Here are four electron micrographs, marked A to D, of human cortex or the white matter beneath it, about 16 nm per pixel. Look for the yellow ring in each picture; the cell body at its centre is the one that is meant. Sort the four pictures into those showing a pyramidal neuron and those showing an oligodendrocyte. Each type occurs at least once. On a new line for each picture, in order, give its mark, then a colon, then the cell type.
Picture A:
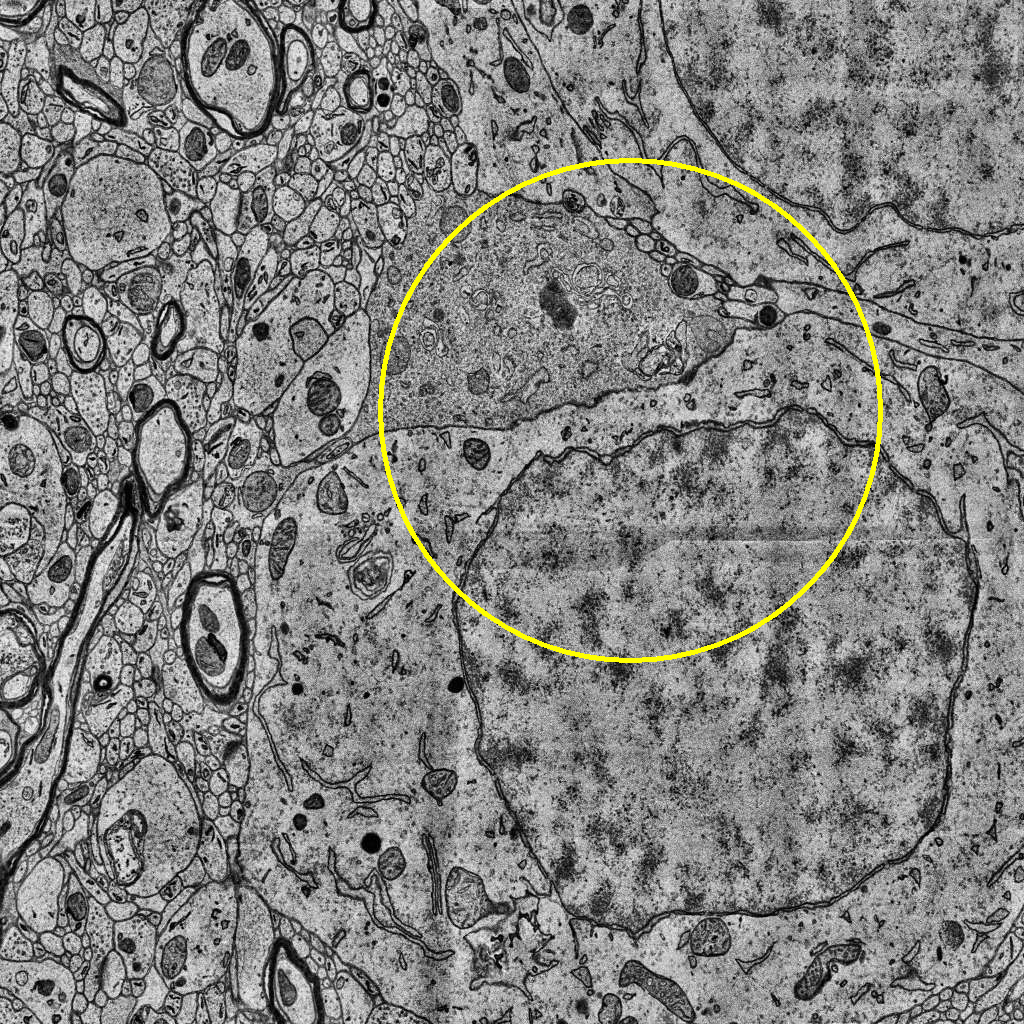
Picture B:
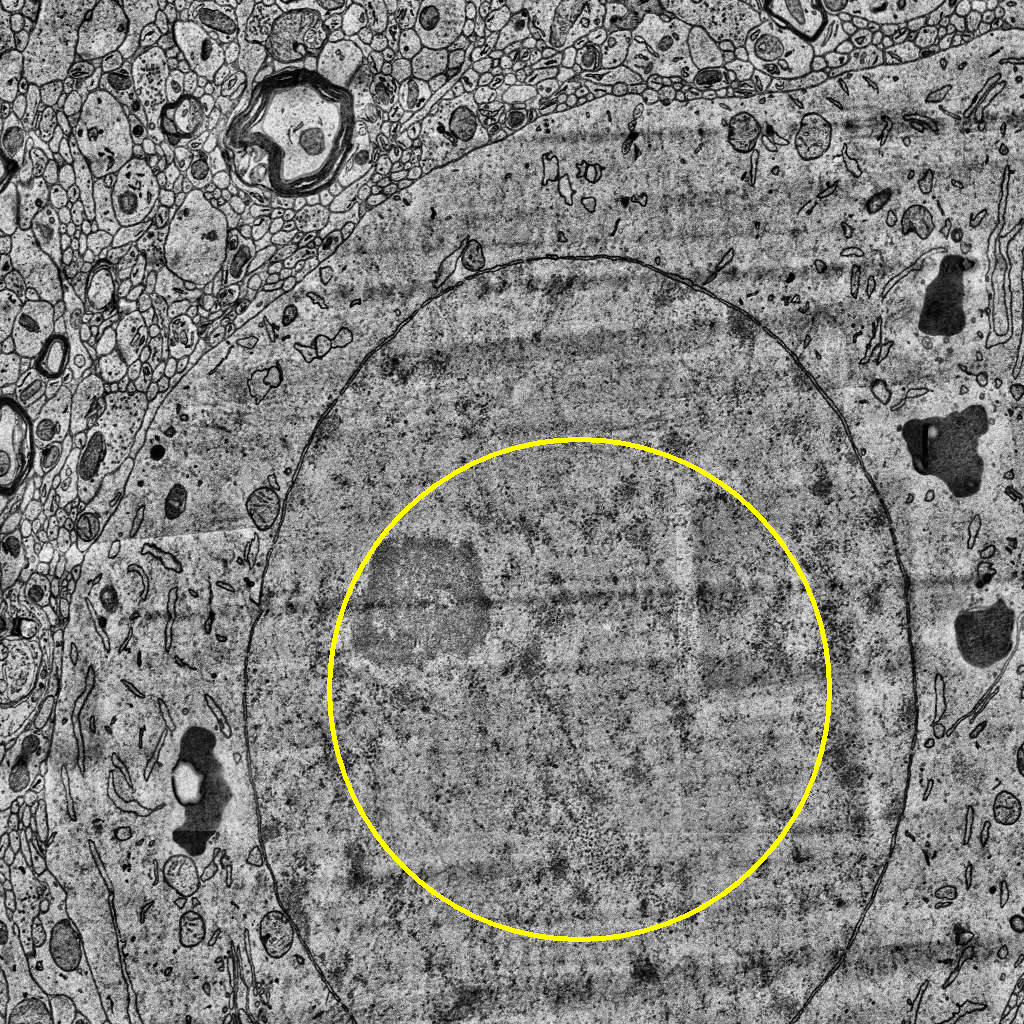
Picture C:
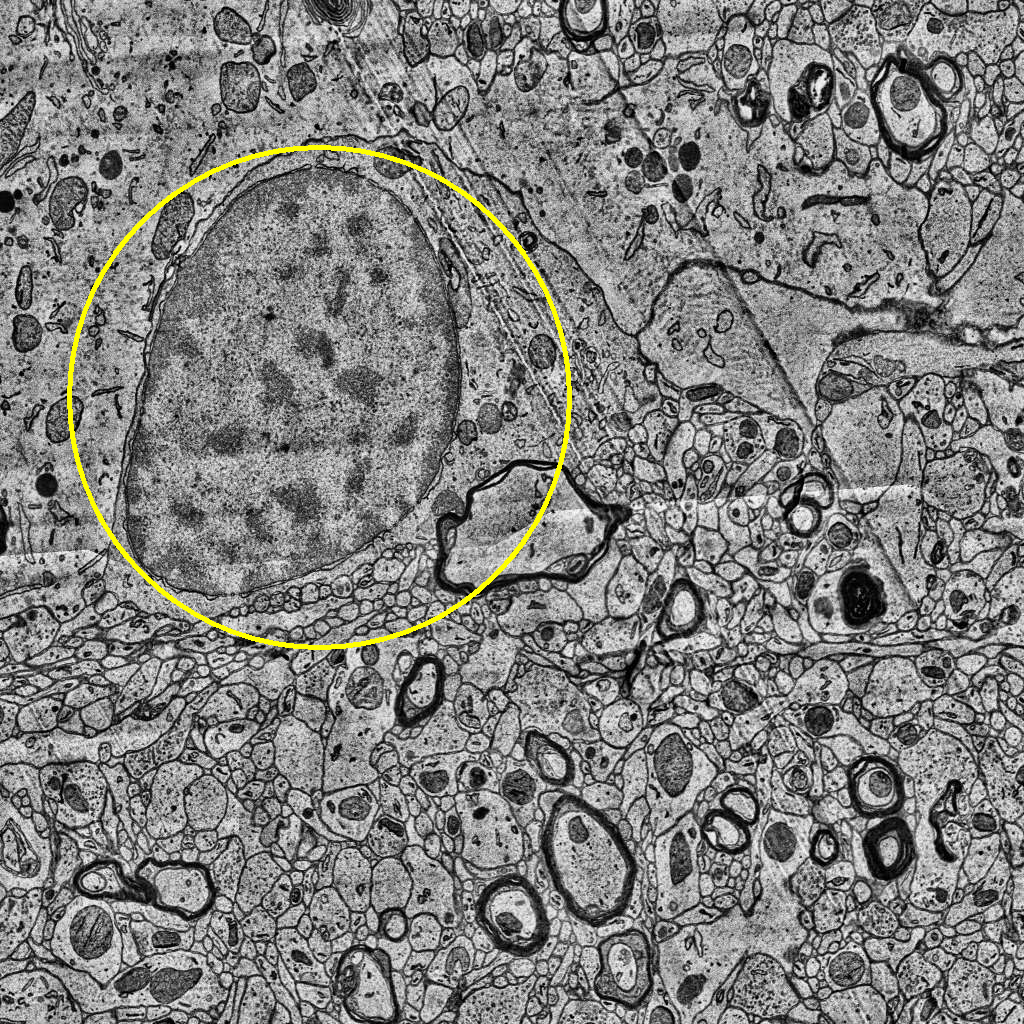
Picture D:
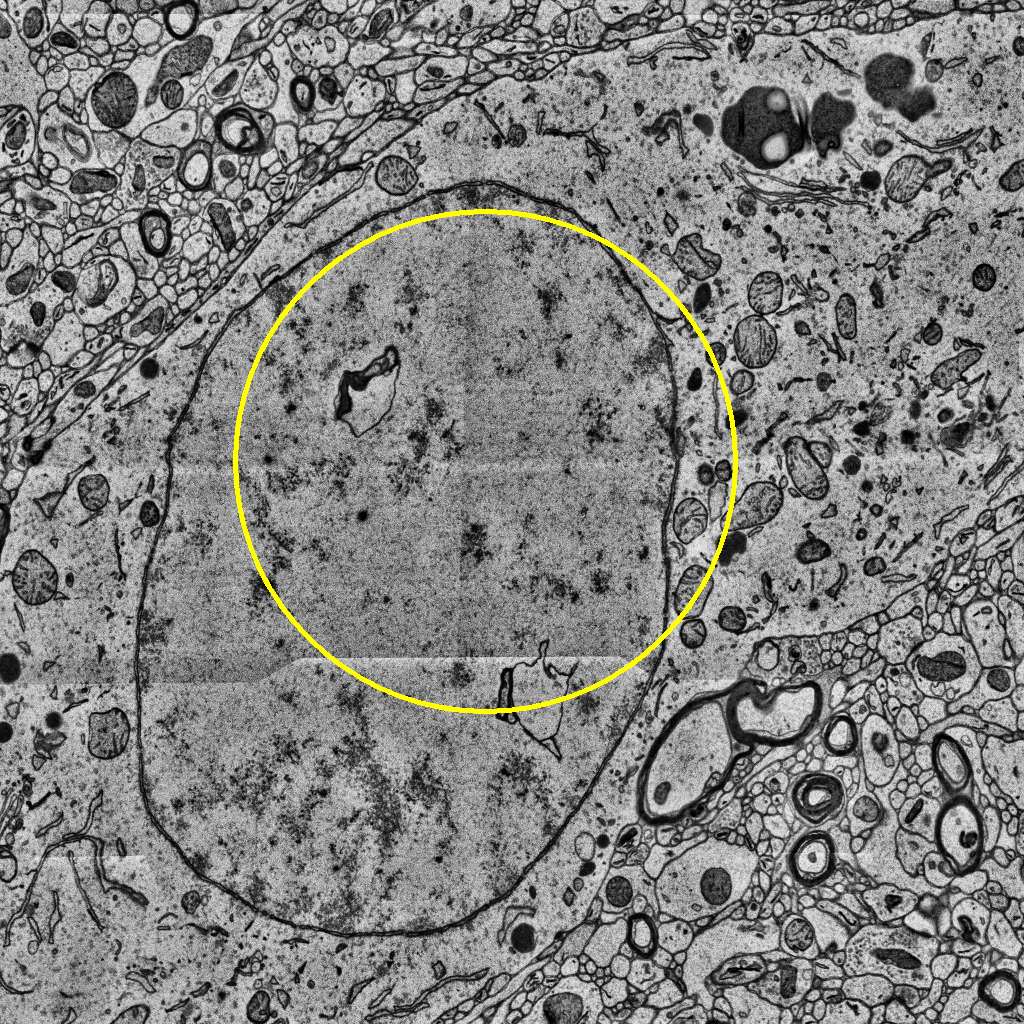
A: oligodendrocyte
B: pyramidal neuron
C: oligodendrocyte
D: pyramidal neuron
